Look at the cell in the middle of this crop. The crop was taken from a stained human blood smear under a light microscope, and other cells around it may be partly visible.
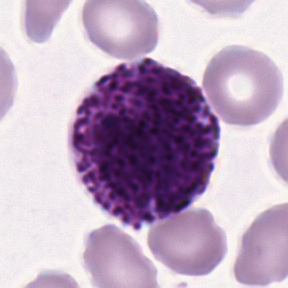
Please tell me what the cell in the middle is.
basophil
